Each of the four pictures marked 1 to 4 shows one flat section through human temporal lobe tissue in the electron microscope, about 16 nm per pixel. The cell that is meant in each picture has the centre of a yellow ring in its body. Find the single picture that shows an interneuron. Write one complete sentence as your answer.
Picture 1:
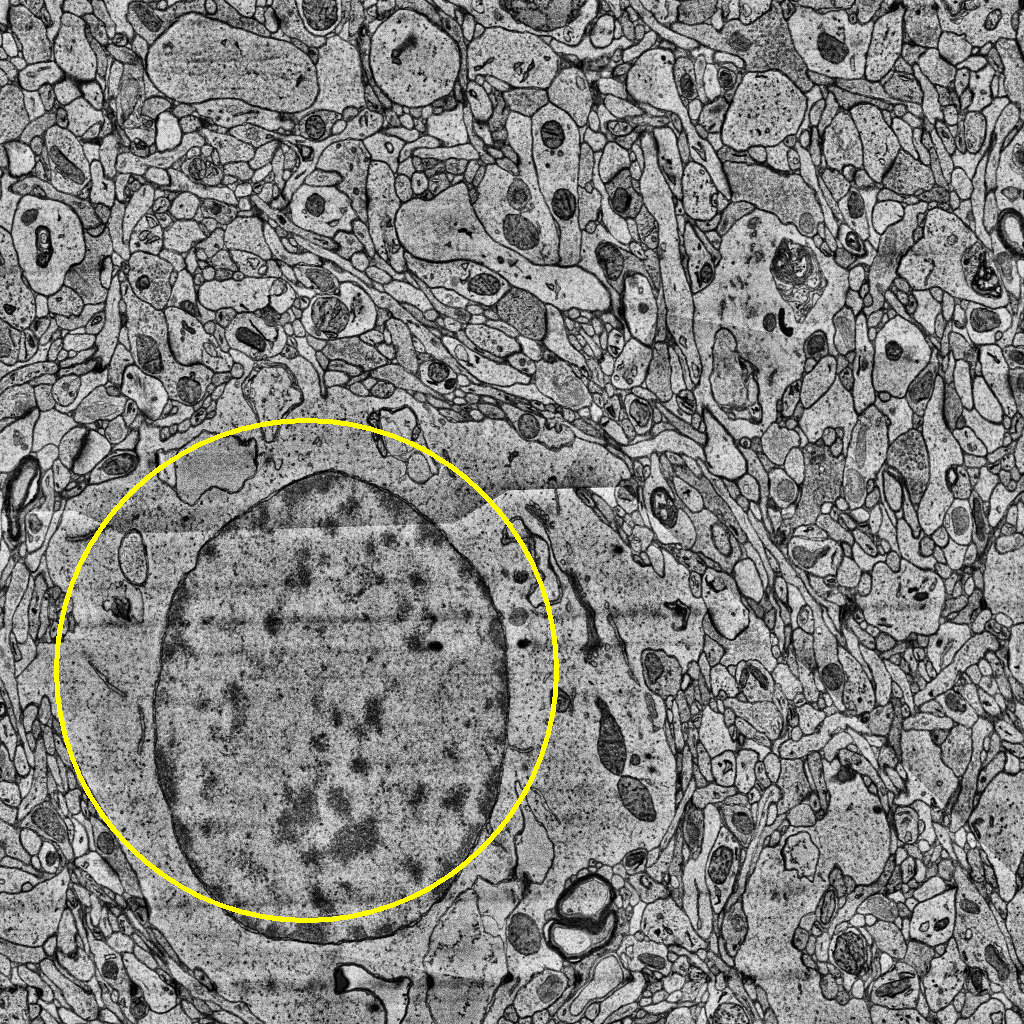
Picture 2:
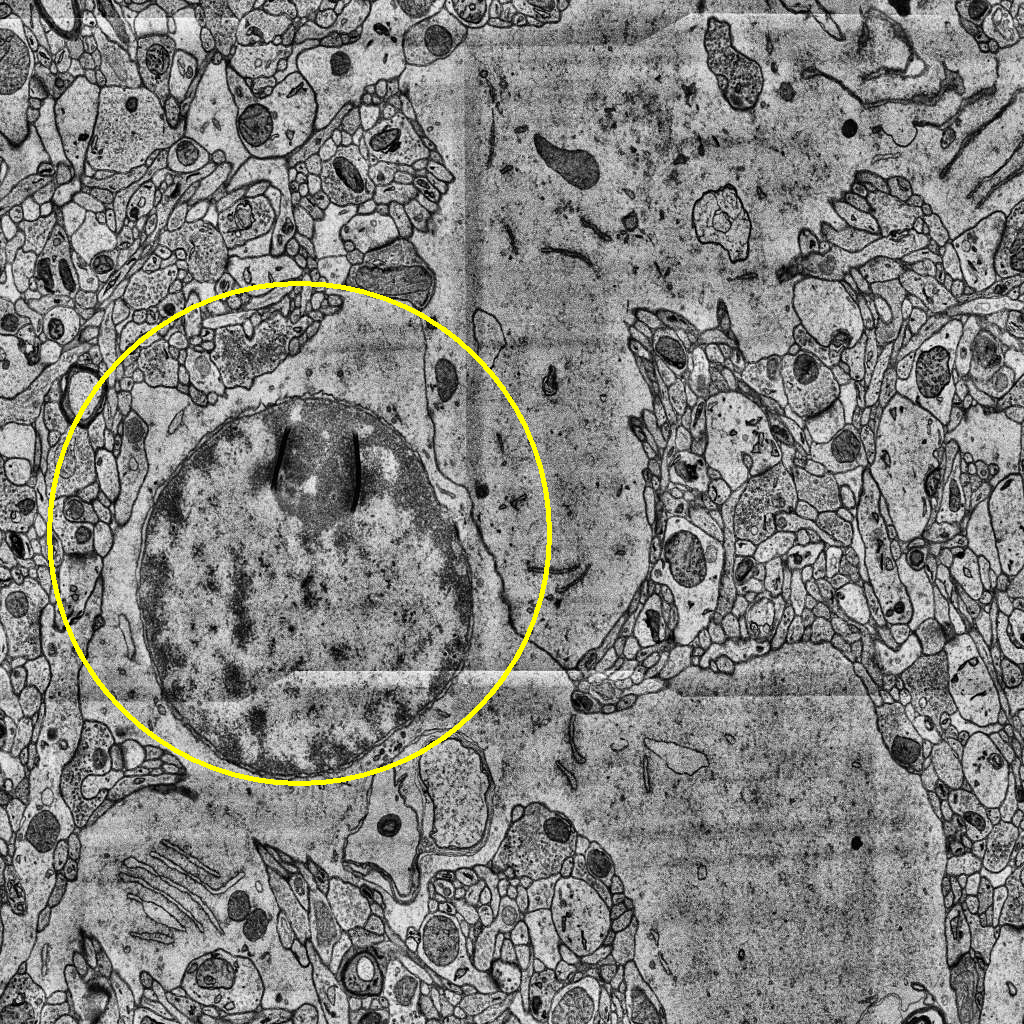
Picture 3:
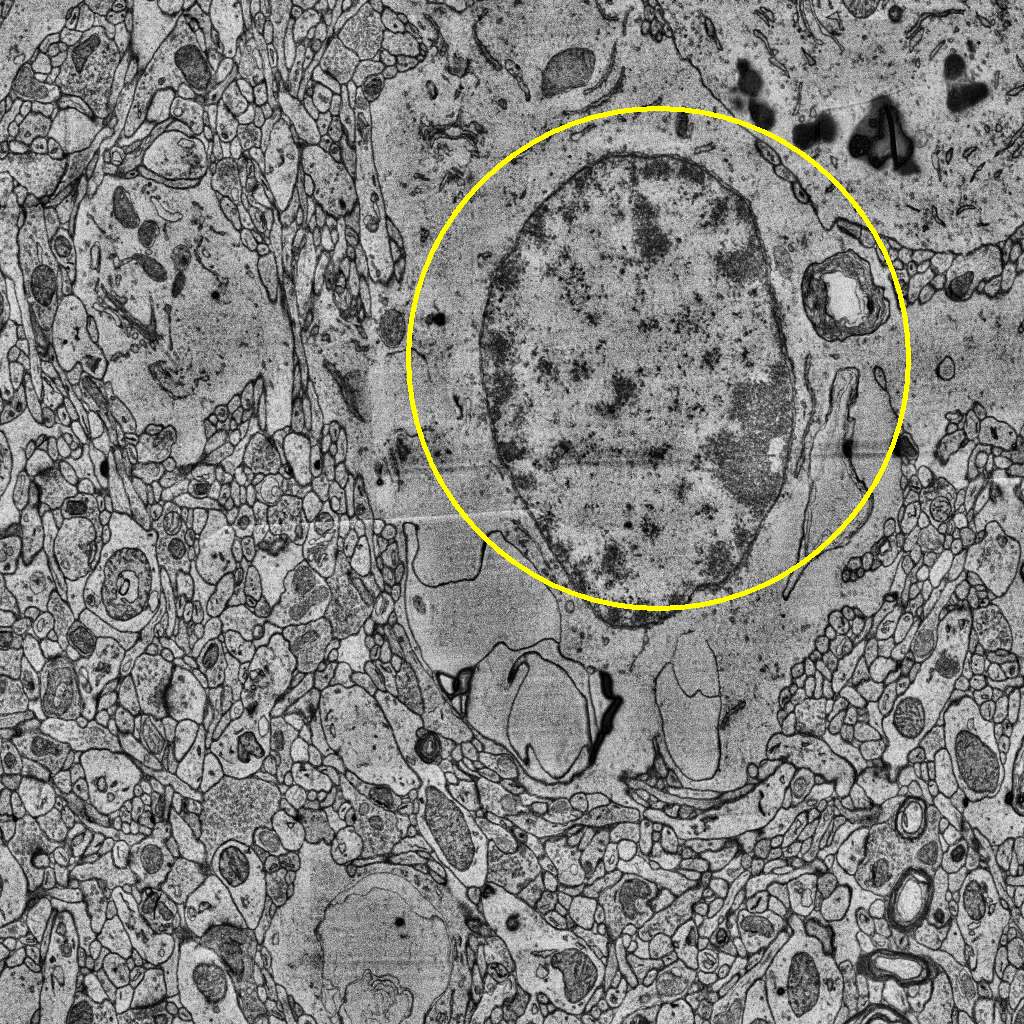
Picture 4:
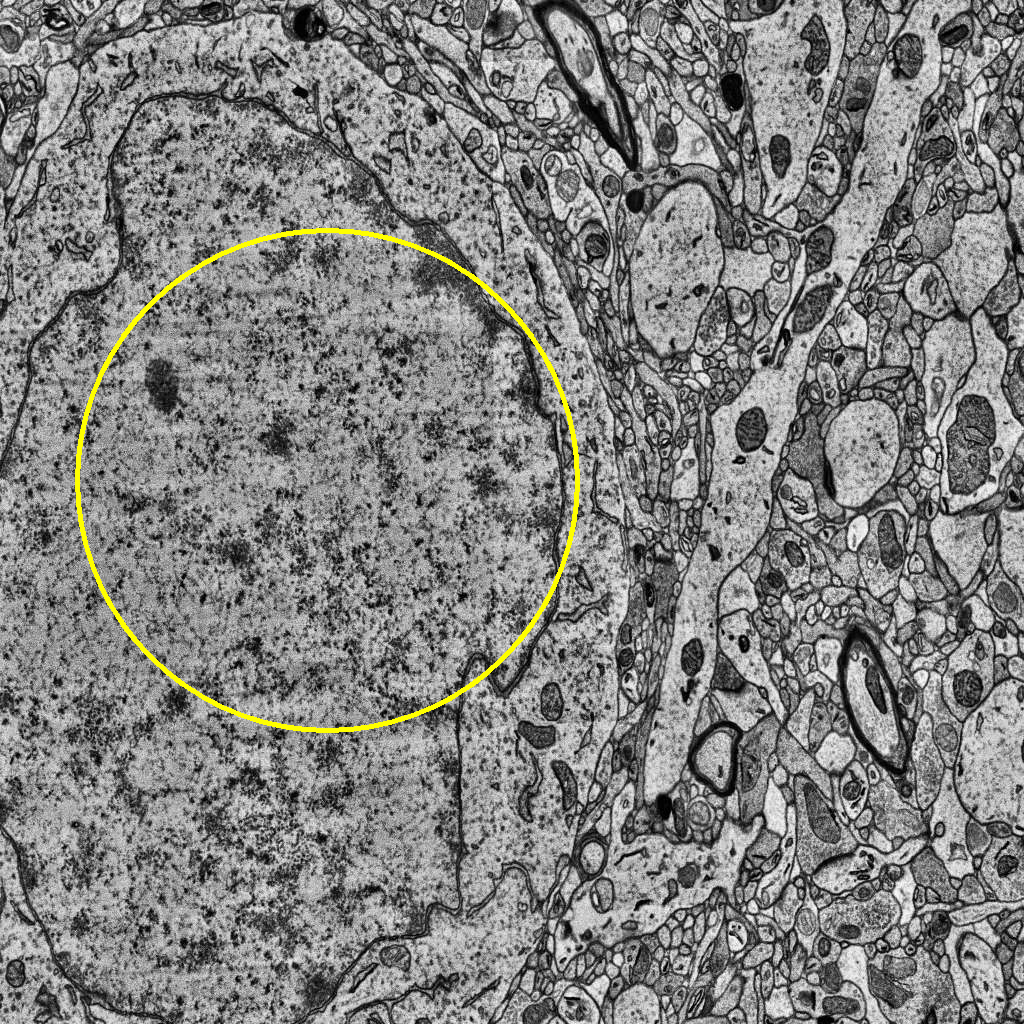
It is picture 4 that shows the interneuron.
